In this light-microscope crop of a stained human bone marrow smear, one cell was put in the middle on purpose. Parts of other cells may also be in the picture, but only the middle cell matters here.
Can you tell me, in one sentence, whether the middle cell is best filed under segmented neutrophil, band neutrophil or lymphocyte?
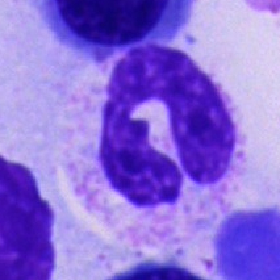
The middle of this crop is occupied by a segmented neutrophil.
